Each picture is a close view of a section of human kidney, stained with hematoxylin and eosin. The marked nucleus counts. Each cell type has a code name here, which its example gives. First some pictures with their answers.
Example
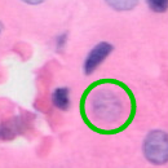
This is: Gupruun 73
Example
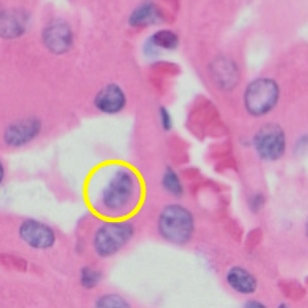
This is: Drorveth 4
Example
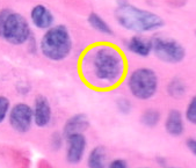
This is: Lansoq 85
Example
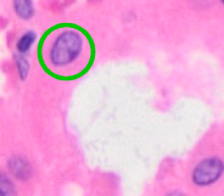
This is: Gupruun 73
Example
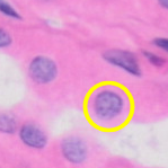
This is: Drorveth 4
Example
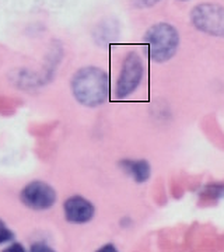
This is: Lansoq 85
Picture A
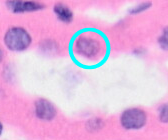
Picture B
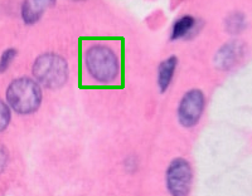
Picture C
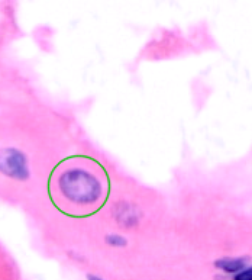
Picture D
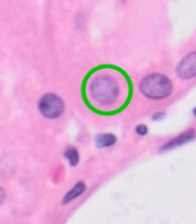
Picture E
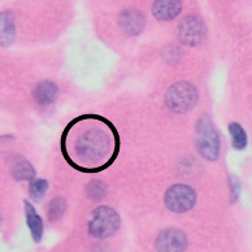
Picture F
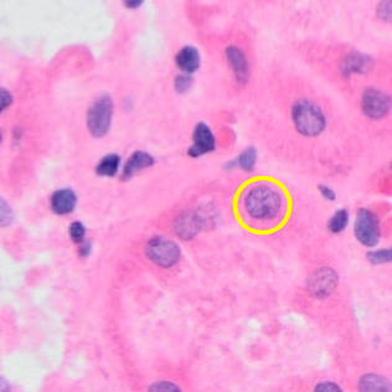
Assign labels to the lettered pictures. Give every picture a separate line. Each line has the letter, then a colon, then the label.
A: Drorveth 4
B: Gupruun 73
C: Gupruun 73
D: Gupruun 73
E: Gupruun 73
F: Gupruun 73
